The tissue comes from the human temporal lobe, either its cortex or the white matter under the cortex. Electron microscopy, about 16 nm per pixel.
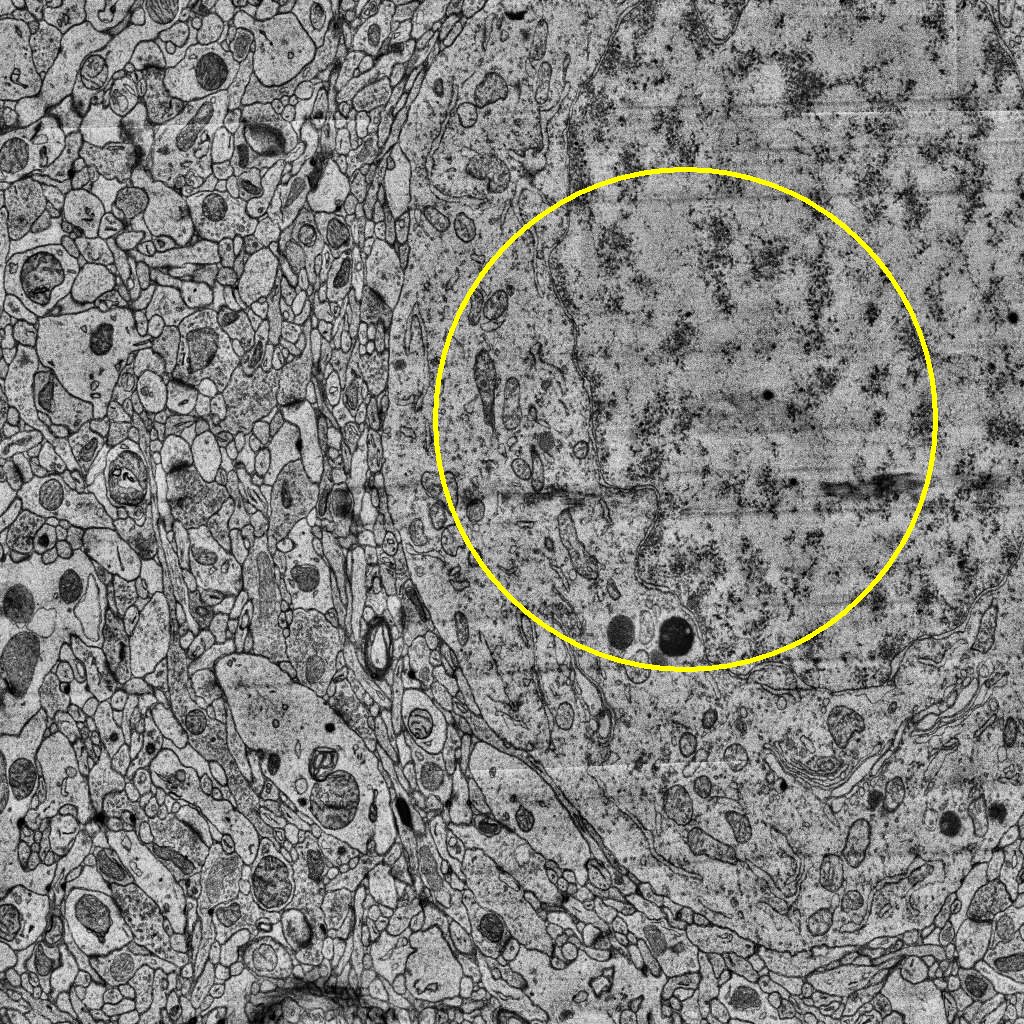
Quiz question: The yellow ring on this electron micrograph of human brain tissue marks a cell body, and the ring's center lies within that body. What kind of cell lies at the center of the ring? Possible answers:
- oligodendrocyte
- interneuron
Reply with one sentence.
The ring's center lies on an interneuron.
